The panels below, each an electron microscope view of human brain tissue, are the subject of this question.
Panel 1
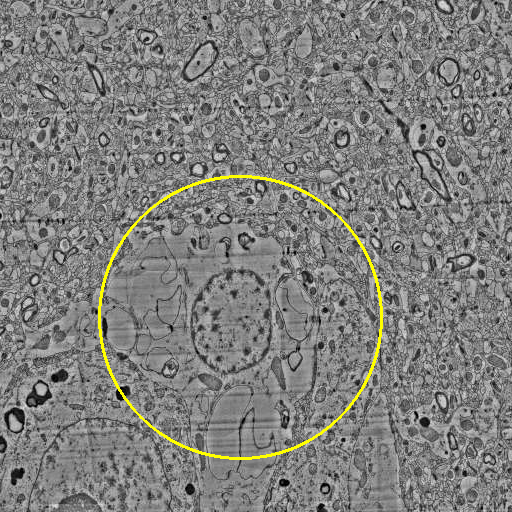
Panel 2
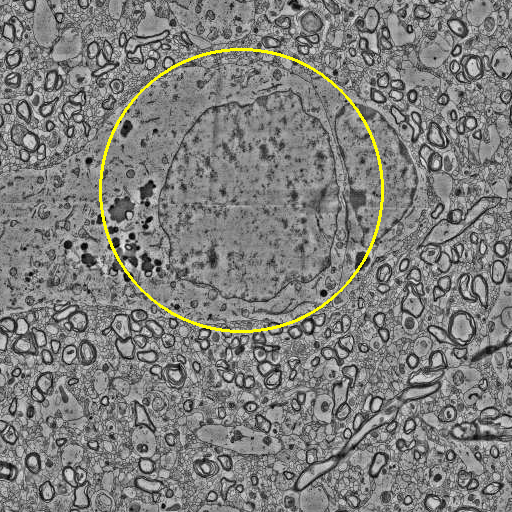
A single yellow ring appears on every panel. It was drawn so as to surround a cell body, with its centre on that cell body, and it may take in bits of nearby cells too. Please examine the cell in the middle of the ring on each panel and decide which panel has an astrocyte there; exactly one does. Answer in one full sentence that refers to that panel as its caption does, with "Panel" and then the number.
Panel 1 is where the ring's central cell answers the question.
